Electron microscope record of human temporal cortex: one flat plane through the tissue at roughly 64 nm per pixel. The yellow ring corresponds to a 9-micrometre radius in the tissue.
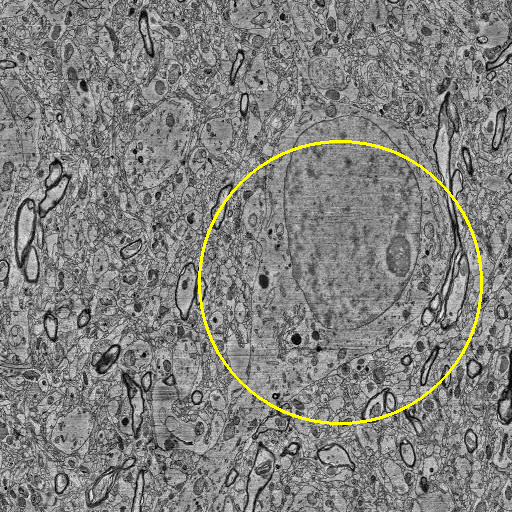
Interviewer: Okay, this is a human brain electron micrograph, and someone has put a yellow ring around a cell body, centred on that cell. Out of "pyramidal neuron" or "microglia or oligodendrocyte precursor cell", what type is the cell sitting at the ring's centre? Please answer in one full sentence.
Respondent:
The cell at the centre of the yellow ring in this picture is a pyramidal neuron.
